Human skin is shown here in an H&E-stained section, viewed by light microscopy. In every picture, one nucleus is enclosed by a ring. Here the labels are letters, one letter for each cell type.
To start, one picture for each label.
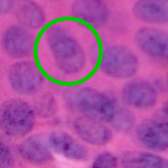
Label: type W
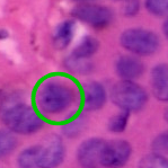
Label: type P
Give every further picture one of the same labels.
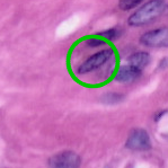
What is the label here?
type P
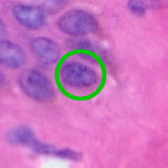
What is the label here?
type P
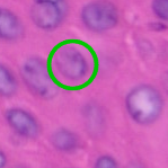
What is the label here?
type W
